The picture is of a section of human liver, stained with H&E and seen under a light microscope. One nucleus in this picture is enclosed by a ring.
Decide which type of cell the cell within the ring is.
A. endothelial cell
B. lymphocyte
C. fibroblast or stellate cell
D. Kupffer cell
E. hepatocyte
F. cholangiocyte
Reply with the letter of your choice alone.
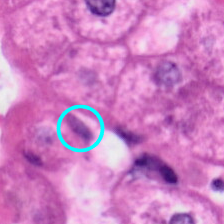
D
